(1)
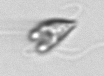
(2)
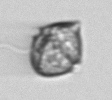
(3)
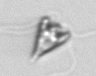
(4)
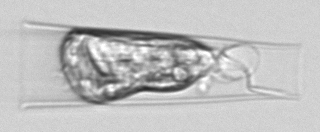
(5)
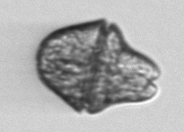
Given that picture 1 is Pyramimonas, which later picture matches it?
3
